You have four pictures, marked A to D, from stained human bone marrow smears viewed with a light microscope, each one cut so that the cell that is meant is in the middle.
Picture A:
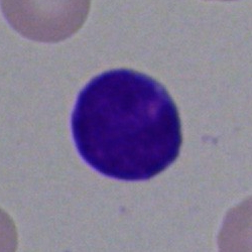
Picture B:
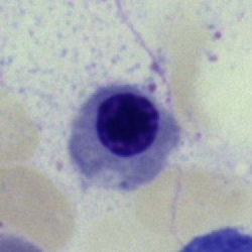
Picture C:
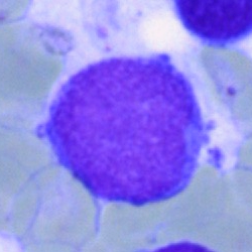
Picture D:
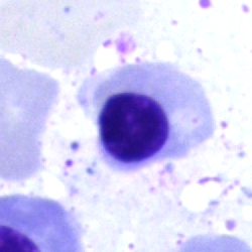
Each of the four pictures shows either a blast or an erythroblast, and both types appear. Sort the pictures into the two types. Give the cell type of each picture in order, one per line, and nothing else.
blast
erythroblast
blast
erythroblast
